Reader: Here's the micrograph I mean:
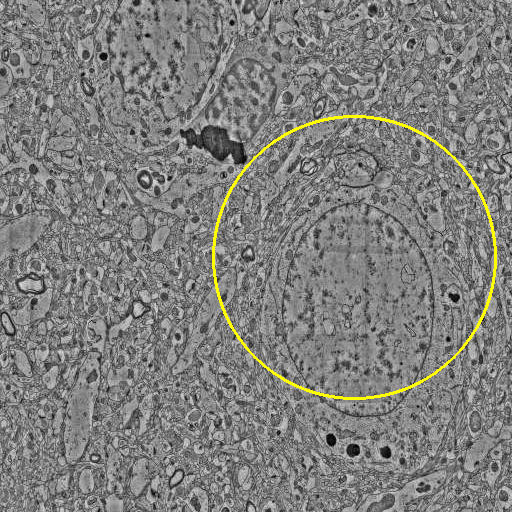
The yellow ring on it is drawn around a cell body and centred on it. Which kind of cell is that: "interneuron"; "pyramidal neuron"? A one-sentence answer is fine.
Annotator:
The ring is centred on a pyramidal neuron.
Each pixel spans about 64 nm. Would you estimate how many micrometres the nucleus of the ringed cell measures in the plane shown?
Approximately 14 by 10 micrometers in this plane.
